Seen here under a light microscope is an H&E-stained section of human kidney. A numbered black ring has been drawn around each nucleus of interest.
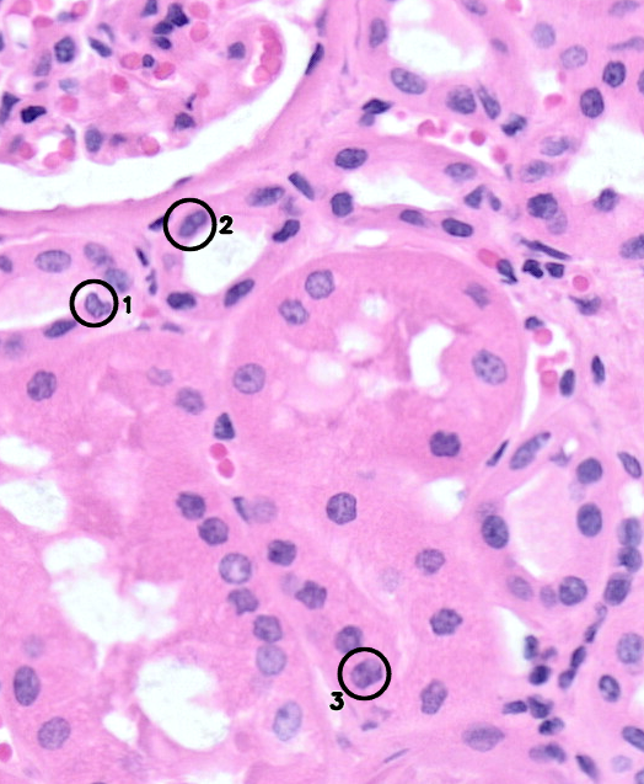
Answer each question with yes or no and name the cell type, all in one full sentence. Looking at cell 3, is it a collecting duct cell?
No, instead of a collecting duct cell, the cell with number 3 is a proximal tubule cell.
